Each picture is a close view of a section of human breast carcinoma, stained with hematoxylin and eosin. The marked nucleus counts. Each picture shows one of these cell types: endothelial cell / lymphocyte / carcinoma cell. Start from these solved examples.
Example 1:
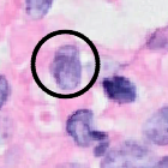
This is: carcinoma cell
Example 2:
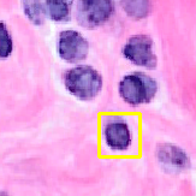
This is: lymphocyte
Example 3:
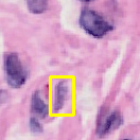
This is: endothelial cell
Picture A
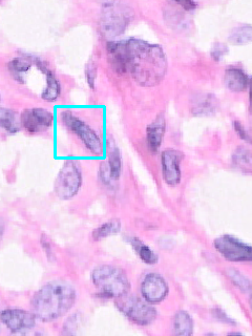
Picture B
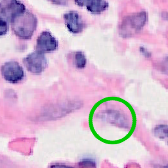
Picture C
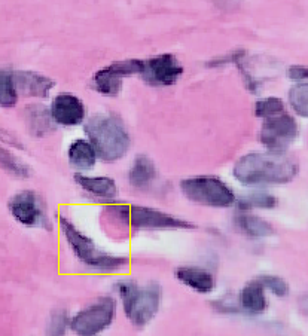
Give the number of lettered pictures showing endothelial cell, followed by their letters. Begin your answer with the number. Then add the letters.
3, namely A, B, C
